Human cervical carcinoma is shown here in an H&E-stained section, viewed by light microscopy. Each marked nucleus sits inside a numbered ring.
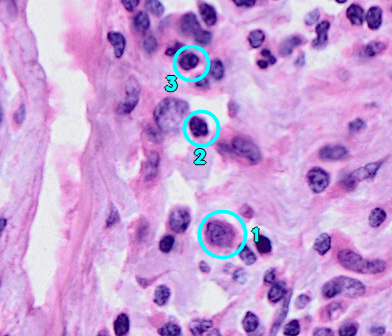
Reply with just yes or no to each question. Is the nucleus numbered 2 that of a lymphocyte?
yes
